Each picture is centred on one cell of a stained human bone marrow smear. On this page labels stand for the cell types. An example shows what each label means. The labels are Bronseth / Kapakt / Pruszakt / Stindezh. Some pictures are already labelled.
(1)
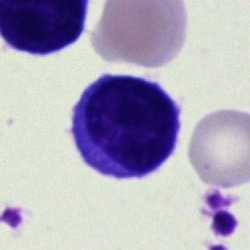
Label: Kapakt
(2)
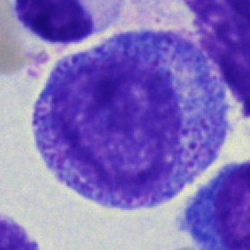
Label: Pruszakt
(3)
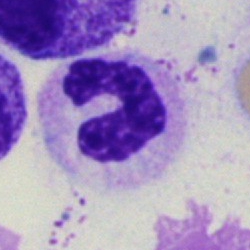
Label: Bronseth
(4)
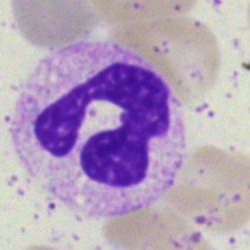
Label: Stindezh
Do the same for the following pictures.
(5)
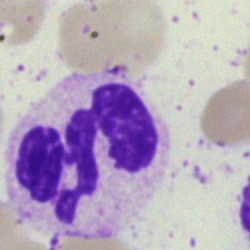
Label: Stindezh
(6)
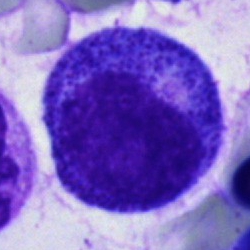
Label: Pruszakt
